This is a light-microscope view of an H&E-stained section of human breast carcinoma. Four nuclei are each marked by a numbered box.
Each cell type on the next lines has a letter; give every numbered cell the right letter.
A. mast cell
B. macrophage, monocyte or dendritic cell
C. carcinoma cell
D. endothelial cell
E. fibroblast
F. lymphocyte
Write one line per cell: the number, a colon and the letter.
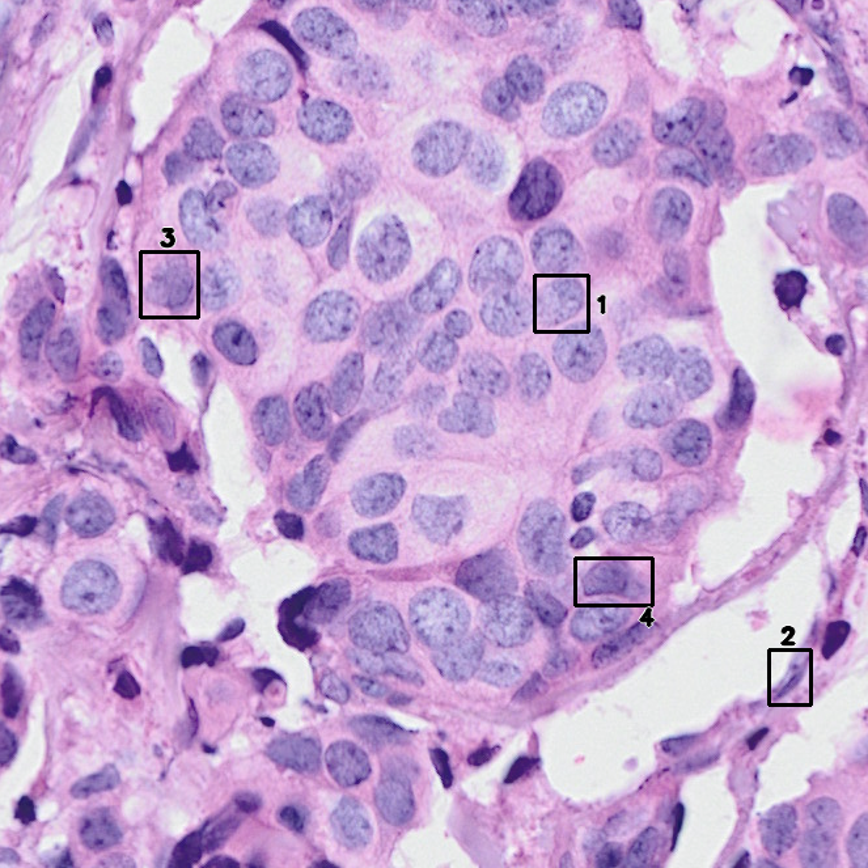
1: C
2: E
3: C
4: C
